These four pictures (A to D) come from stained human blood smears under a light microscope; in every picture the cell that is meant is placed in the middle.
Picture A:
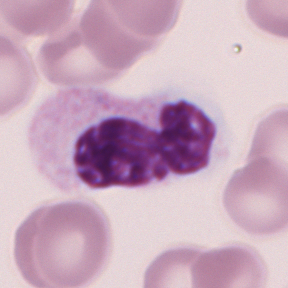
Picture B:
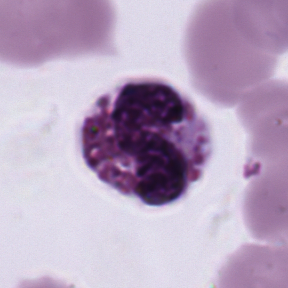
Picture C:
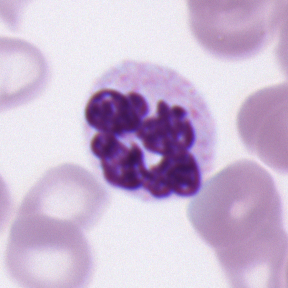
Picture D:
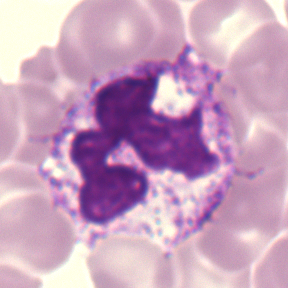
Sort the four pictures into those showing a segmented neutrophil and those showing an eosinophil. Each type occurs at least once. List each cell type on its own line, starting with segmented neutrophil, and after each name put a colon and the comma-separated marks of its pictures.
segmented neutrophil: A, C, D
eosinophil: B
